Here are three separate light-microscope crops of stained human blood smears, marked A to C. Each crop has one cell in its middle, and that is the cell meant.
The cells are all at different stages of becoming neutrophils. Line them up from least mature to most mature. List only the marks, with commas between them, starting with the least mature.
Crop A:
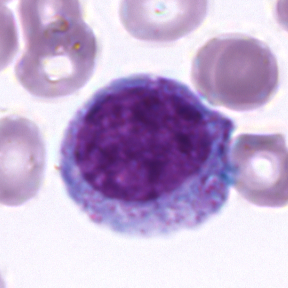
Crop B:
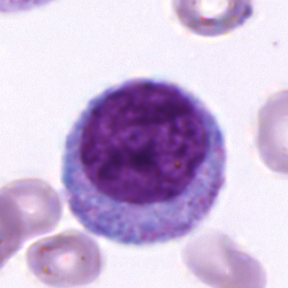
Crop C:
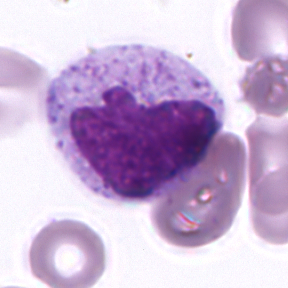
A, B, C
